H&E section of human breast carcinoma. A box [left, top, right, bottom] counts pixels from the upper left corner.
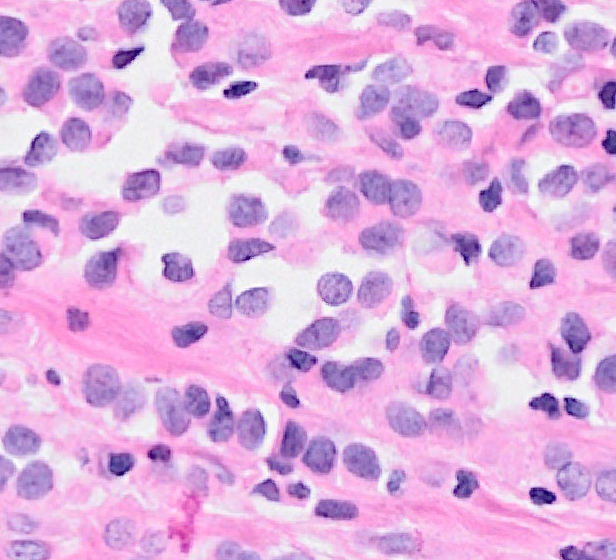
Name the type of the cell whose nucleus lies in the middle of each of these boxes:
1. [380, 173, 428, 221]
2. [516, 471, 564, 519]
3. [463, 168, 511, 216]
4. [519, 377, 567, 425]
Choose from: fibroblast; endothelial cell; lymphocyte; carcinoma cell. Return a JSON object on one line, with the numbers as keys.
{"1": "carcinoma cell", "2": "lymphocyte", "3": "lymphocyte", "4": "lymphocyte"}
